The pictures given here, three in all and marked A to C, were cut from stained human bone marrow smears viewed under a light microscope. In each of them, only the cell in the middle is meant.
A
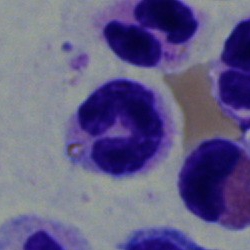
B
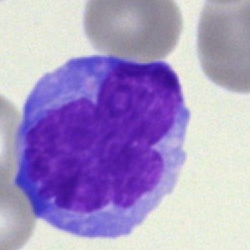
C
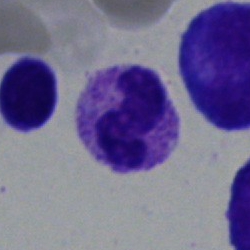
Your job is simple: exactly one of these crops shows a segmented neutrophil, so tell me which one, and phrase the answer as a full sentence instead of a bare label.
Crop C is the single crop that shows a segmented neutrophil.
